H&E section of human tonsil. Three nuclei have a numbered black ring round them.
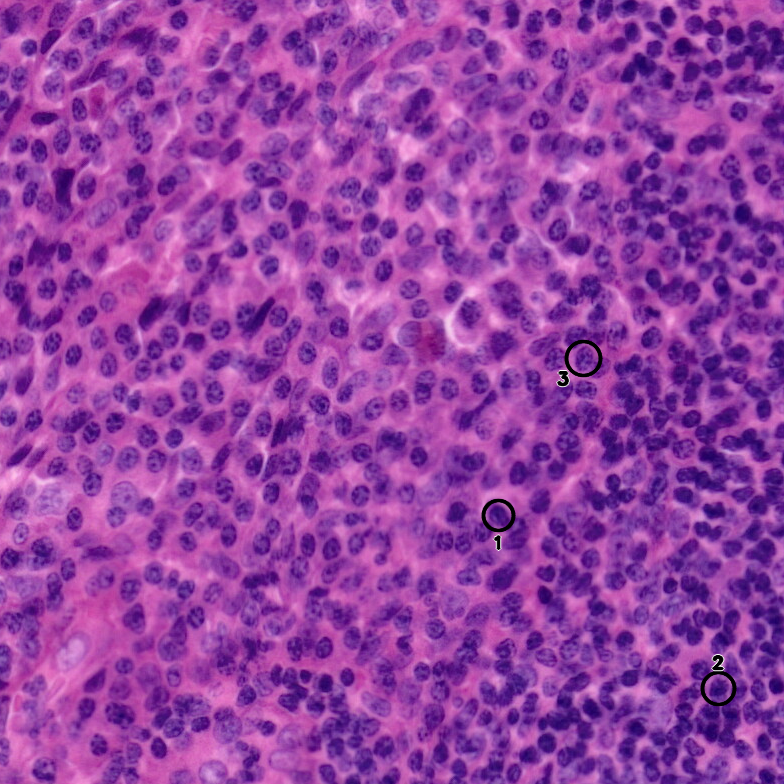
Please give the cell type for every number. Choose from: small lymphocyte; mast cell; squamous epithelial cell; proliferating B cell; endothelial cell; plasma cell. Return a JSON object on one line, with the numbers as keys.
{"1": "plasma cell", "2": "small lymphocyte", "3": "plasma cell"}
